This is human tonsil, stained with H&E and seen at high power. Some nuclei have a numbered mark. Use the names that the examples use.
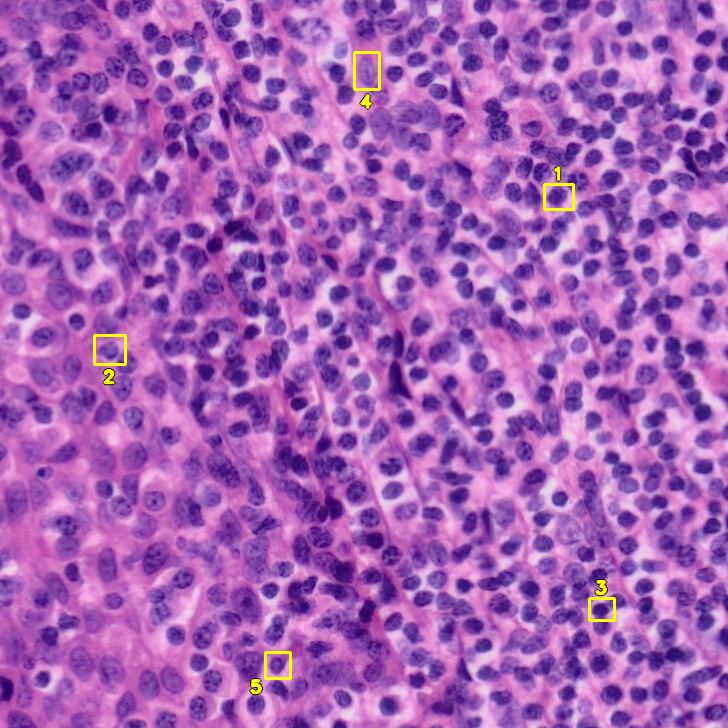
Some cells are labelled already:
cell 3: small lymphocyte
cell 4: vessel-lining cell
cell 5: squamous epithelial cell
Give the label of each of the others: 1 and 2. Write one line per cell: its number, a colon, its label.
1: small lymphocyte
2: squamous epithelial cell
